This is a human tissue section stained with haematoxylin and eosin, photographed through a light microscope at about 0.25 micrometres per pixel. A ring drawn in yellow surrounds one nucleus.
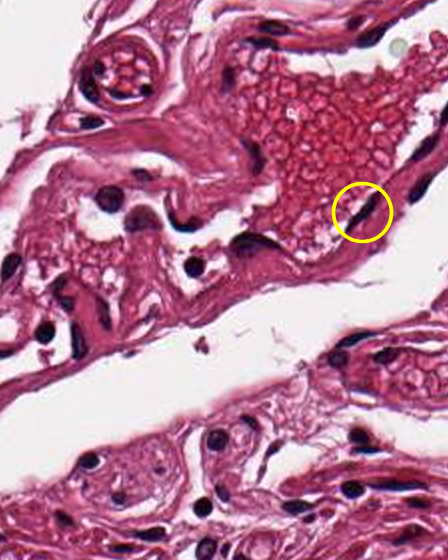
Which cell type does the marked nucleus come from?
endothelial cell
